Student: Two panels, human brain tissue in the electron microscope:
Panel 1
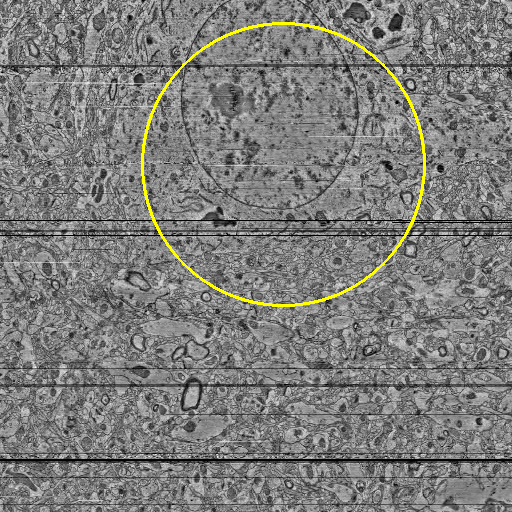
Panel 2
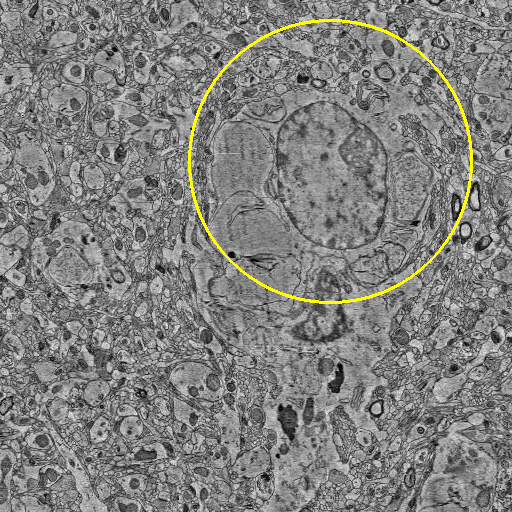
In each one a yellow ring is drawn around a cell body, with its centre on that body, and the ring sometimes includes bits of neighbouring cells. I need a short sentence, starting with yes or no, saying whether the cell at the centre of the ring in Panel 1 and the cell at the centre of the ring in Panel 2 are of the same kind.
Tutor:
No, they are two kinds of cell.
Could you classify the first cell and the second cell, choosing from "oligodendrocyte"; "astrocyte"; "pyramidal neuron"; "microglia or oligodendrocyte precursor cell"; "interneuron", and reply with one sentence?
The second cell is an astrocyte, while the first is a pyramidal neuron.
